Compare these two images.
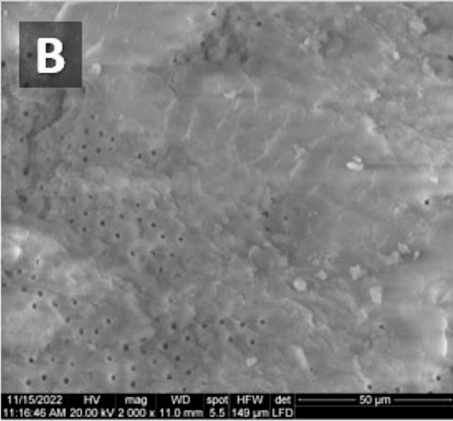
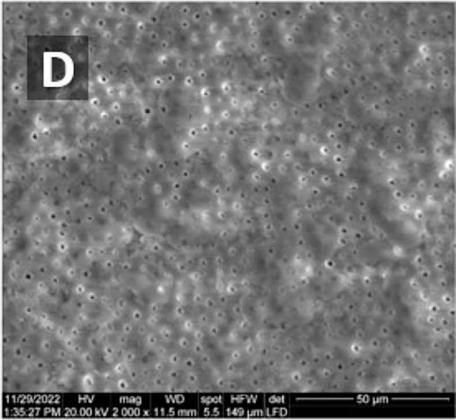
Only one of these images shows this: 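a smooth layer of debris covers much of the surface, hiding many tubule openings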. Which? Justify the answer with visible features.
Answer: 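Second image: round tubule openings are visible evenly across the whole surface. First image: a smooth amorphous coating covers large areas, with tubule openings seen only in some patches.
Hence: the first image.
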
